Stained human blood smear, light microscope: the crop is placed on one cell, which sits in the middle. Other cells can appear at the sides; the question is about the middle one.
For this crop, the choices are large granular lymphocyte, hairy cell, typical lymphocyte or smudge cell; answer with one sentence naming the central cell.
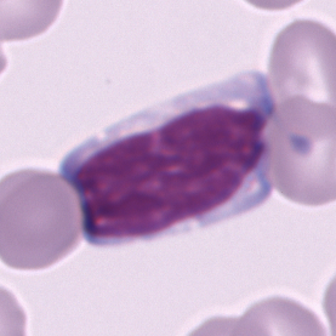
In short, the cell at the center is a typical lymphocyte.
